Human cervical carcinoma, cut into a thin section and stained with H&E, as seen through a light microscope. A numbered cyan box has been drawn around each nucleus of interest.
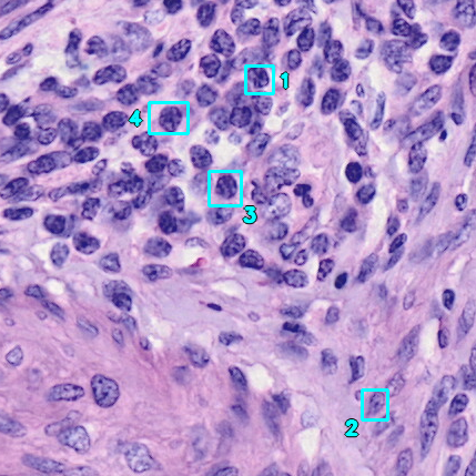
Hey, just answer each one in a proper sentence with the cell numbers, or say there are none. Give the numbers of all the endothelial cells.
The numbered cells include no endothelial cells at all.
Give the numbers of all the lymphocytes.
In this section, the cells numbered 1, 3 and 4 are lymphocytes.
